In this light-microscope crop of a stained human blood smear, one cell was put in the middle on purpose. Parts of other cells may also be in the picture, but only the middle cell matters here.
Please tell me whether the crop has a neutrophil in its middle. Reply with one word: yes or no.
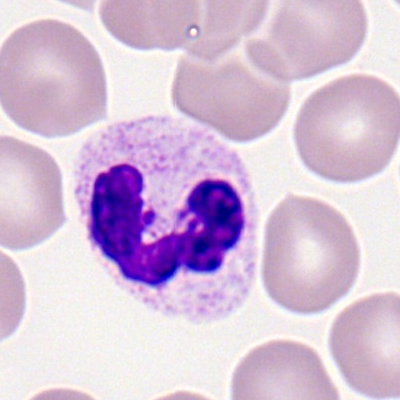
yes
